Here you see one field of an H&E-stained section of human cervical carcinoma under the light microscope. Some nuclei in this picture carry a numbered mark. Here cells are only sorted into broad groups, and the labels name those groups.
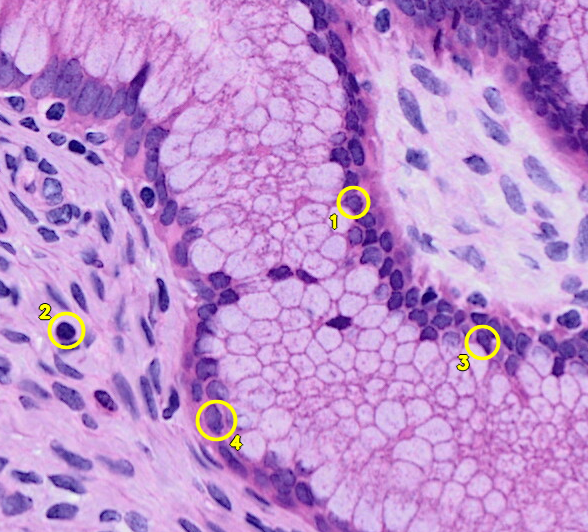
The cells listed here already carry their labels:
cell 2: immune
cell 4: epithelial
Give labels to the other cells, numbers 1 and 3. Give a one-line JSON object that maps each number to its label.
{"1": "epithelial", "3": "epithelial"}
